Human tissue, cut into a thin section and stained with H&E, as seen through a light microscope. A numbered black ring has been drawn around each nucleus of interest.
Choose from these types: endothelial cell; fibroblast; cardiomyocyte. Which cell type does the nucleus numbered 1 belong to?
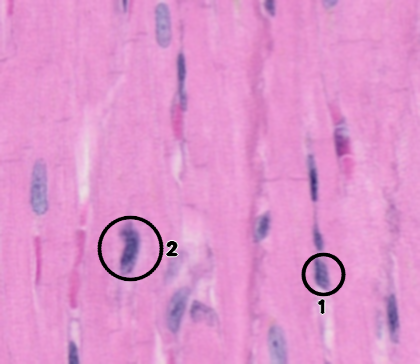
fibroblast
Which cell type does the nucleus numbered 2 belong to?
endothelial cell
